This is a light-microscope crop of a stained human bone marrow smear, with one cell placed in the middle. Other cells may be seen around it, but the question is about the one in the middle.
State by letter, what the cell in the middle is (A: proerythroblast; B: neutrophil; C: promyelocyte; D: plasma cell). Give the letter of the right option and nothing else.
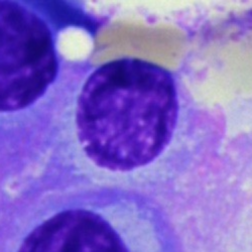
D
